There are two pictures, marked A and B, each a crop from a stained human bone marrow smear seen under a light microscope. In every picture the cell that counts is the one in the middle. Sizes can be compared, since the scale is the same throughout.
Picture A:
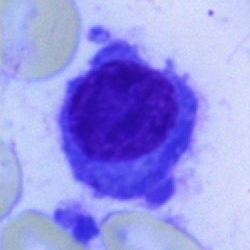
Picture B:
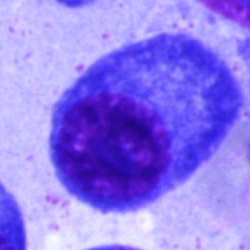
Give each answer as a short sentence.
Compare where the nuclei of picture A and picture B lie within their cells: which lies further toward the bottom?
The nucleus in picture B lies further toward the bottom of its cell.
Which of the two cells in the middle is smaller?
Smaller is the cell in picture A, and the other is about 1.5 times as large in area.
